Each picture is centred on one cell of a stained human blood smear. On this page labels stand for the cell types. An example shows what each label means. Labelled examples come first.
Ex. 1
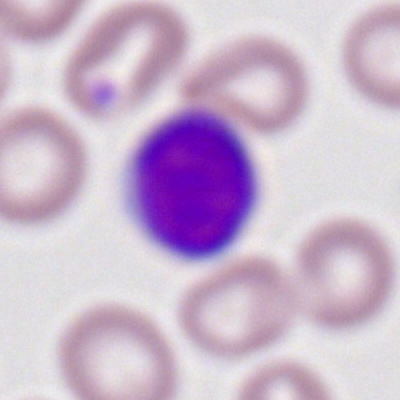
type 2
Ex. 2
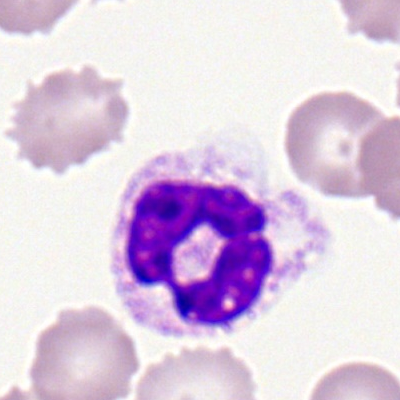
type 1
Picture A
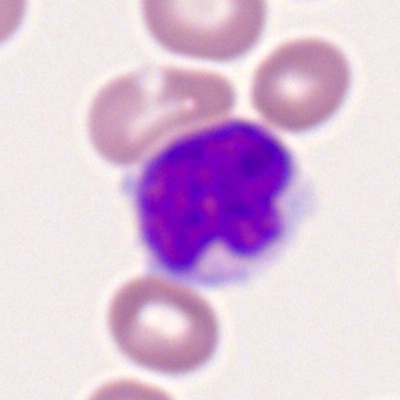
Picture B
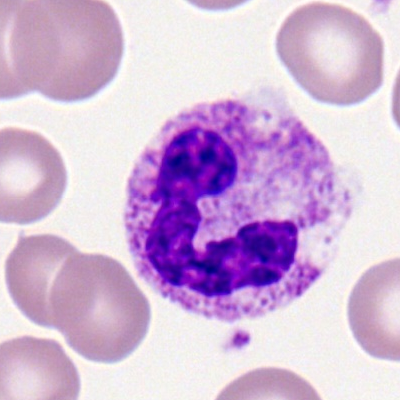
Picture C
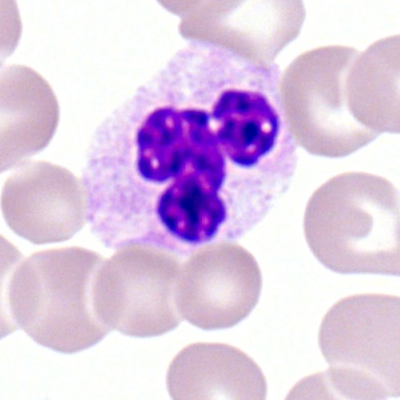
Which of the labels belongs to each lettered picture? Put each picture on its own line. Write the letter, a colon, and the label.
A: type 2
B: type 1
C: type 1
